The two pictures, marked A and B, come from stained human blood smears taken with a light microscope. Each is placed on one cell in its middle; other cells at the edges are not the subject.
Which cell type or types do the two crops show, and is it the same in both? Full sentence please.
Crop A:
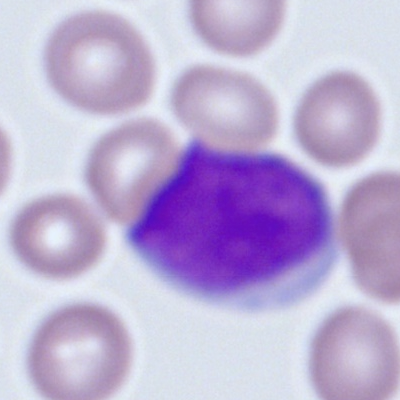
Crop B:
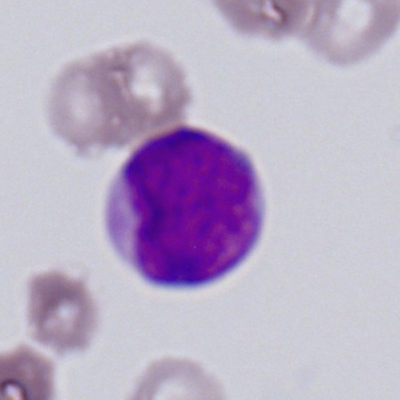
Yes, shown in both crops are blasts.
